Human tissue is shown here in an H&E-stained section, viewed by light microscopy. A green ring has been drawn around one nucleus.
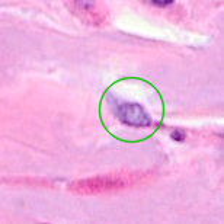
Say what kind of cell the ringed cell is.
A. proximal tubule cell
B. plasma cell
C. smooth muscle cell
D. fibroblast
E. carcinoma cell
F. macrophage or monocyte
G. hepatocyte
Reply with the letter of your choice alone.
D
